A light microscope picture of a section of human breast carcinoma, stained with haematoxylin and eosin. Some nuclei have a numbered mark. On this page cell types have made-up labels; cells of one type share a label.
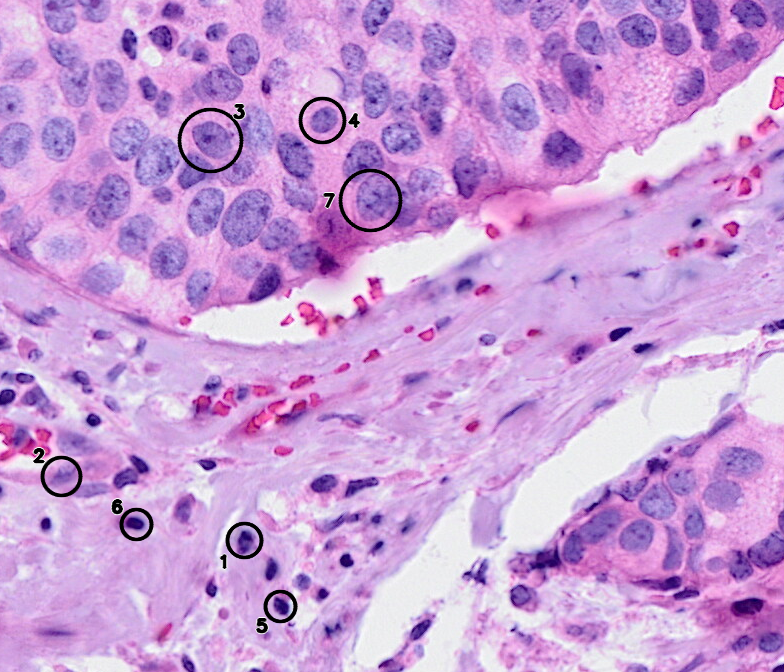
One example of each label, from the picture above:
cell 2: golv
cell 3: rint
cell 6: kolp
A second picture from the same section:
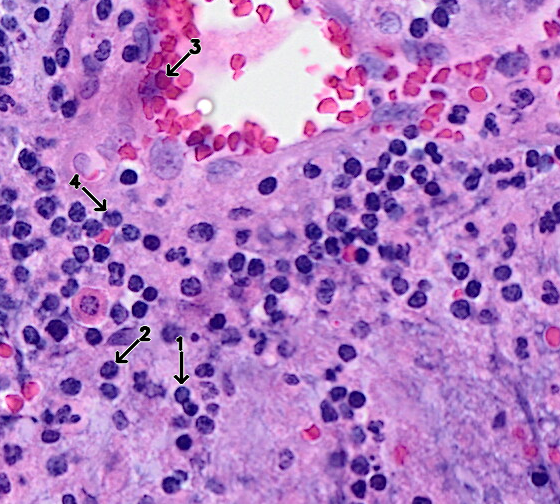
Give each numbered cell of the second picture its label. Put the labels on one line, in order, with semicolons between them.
kolp; kolp; golv; kolp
